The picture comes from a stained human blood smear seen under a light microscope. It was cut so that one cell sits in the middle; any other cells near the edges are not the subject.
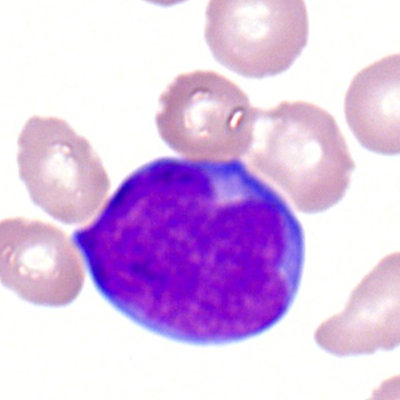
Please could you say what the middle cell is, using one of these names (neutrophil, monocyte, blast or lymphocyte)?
blast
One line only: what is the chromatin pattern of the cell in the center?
The chromatin remains finely textured, with no coarse clumps to speak of.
